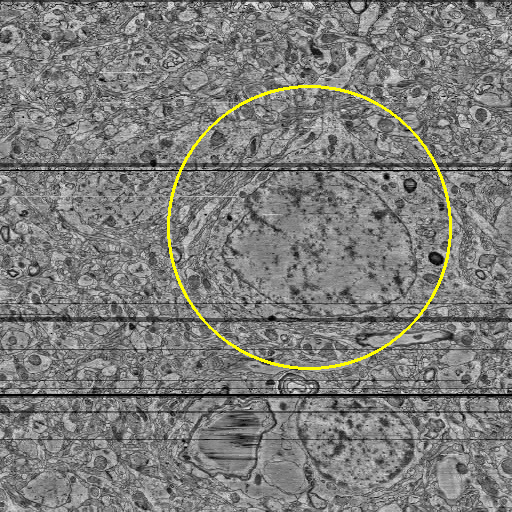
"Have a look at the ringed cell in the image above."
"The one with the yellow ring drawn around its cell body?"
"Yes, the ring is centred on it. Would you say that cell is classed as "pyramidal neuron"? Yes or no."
yes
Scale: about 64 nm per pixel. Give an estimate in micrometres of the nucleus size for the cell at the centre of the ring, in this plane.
Roughly 13 by 10 micrometres in this plane, for the nucleus of the ringed cell.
